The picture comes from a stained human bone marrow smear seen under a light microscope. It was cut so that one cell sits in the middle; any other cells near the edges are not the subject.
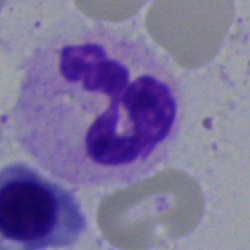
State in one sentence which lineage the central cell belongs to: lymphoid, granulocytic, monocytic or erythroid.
Included in the granulocytic lineage is the cell at the middle of the crop.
